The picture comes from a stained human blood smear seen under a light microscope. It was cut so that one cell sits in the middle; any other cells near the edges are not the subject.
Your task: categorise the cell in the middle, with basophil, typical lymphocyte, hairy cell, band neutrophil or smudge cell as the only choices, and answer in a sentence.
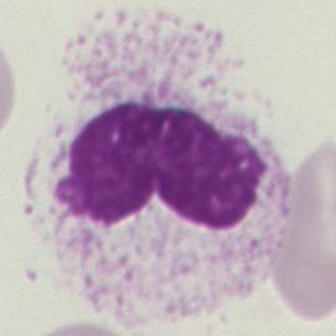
The cell at the central position in this crop is a band neutrophil.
